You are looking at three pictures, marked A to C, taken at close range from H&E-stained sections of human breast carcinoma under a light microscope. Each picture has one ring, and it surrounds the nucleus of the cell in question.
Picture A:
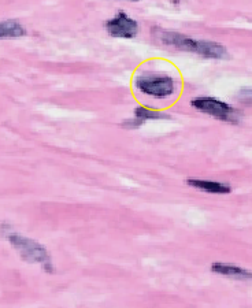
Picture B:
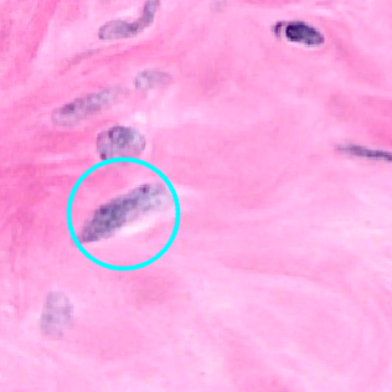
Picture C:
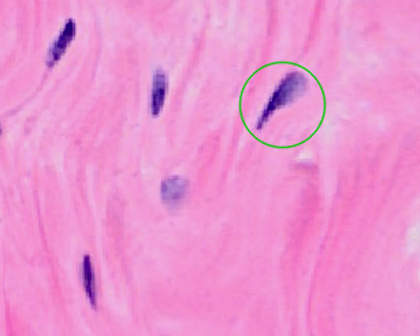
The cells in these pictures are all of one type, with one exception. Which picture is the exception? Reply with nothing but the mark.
A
